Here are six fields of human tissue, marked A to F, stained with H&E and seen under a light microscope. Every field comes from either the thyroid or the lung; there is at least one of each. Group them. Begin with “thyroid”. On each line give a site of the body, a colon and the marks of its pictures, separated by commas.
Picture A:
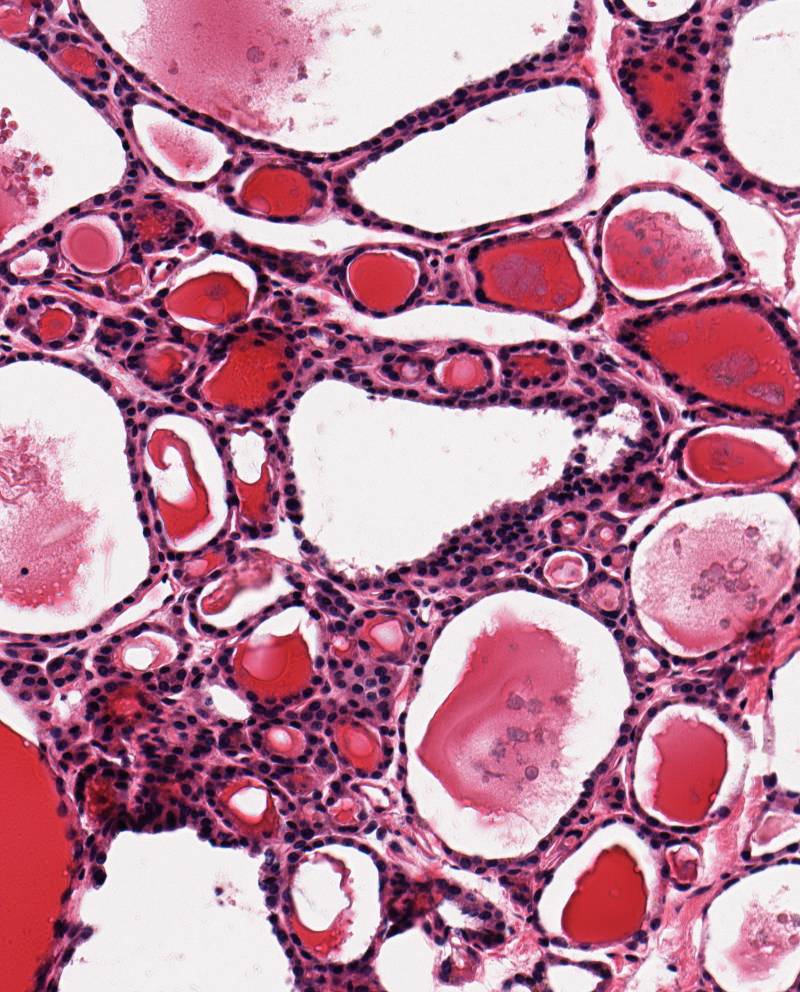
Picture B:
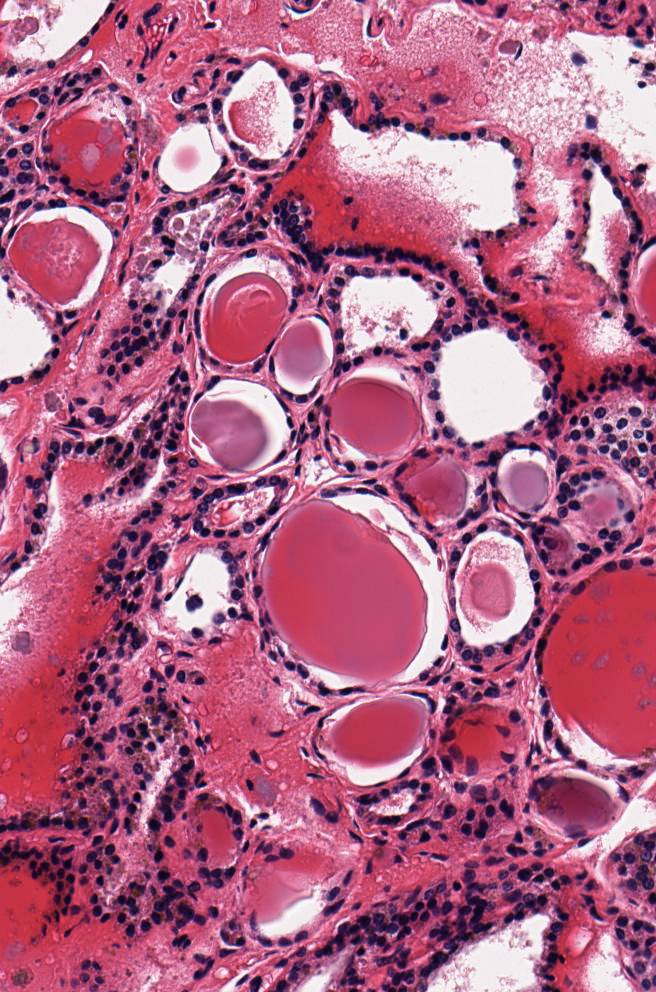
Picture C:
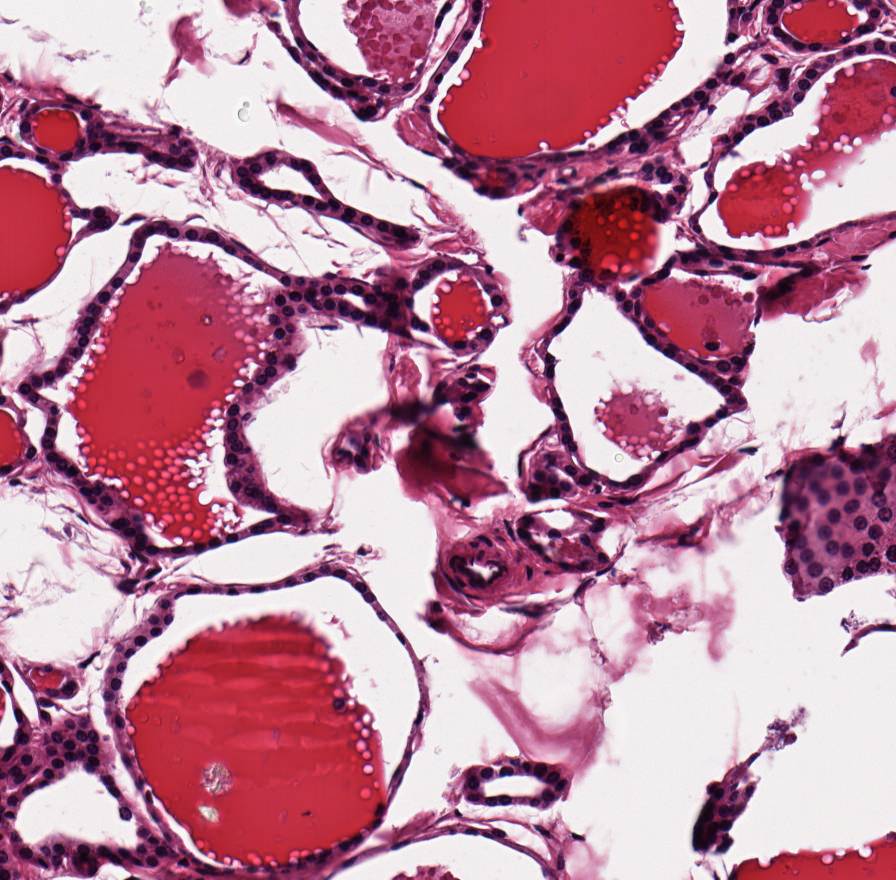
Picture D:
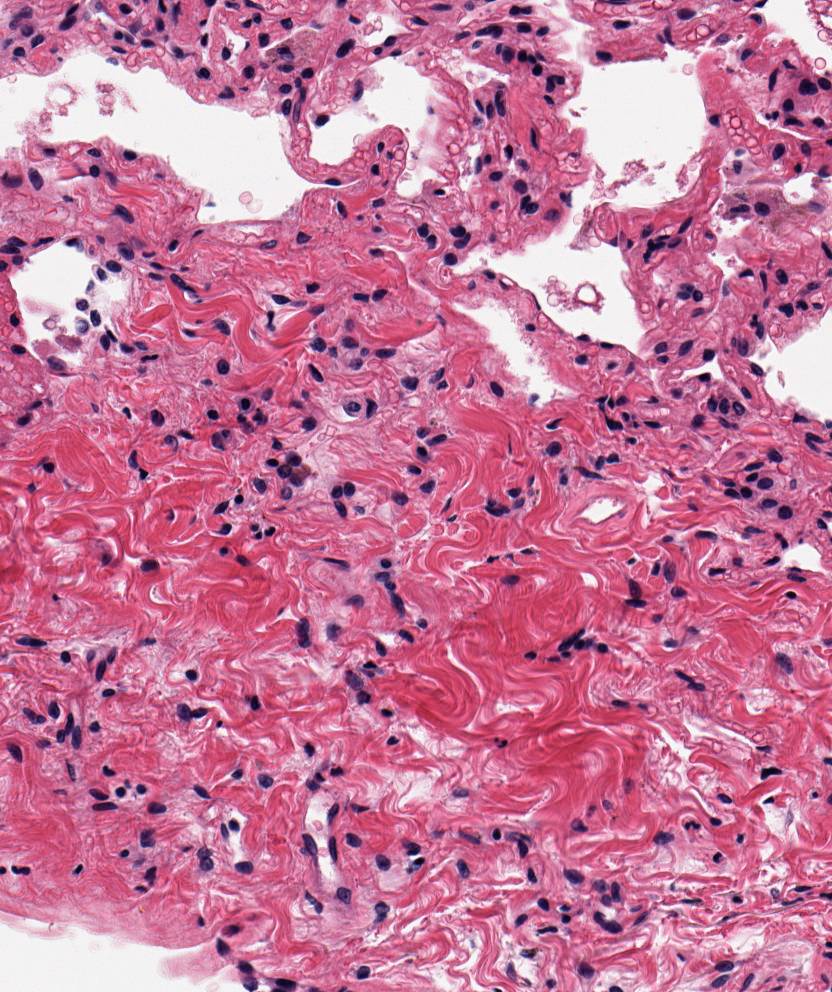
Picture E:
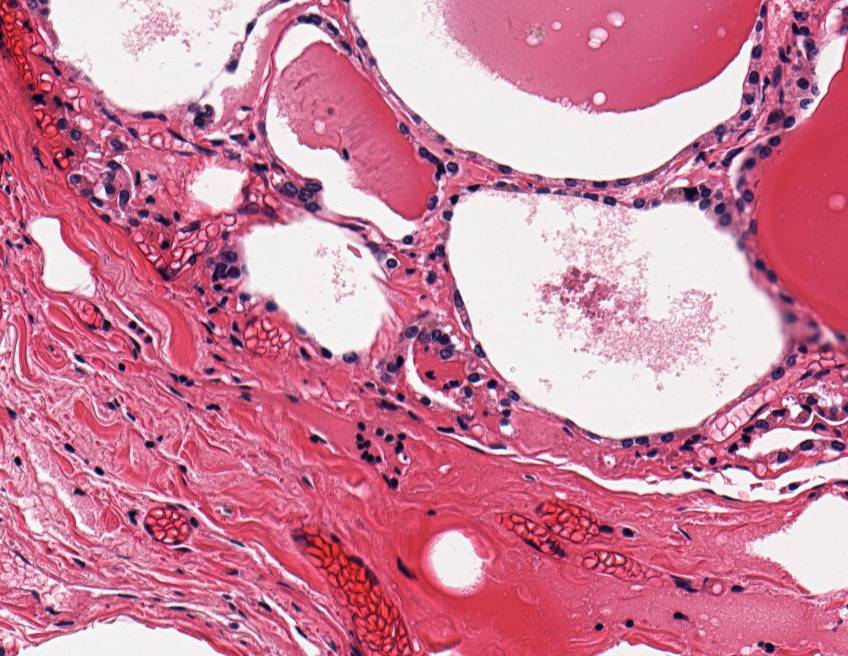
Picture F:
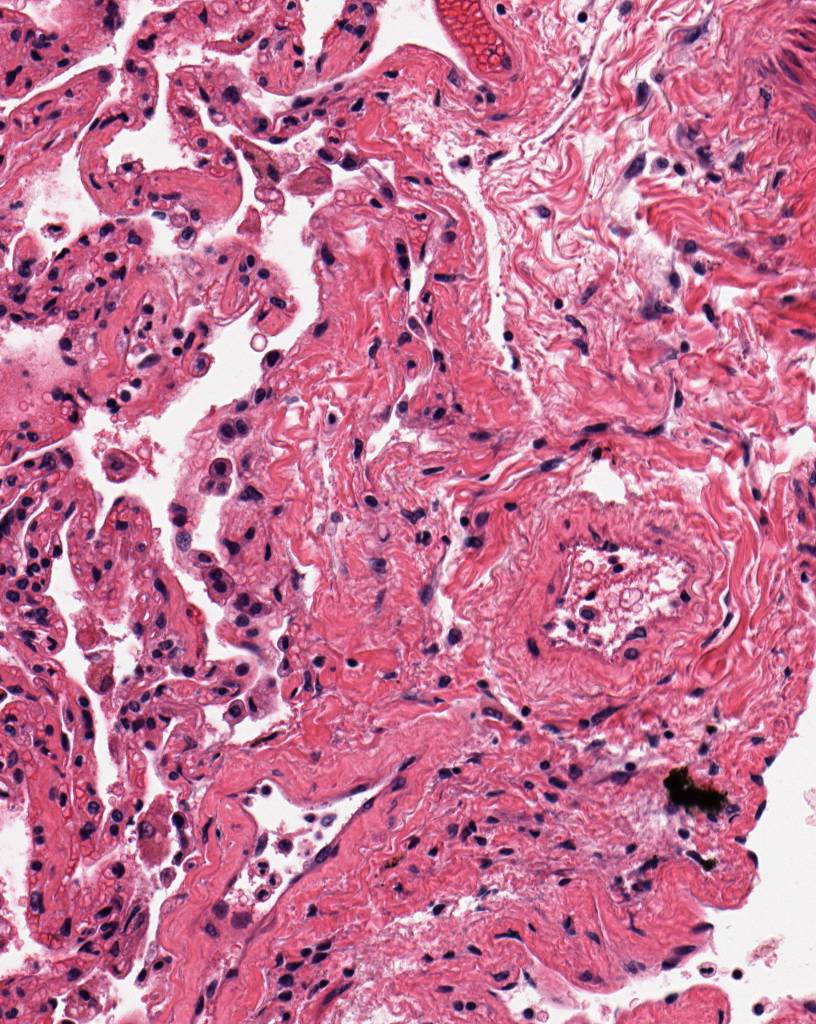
thyroid: A, B, C, E
lung: D, F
